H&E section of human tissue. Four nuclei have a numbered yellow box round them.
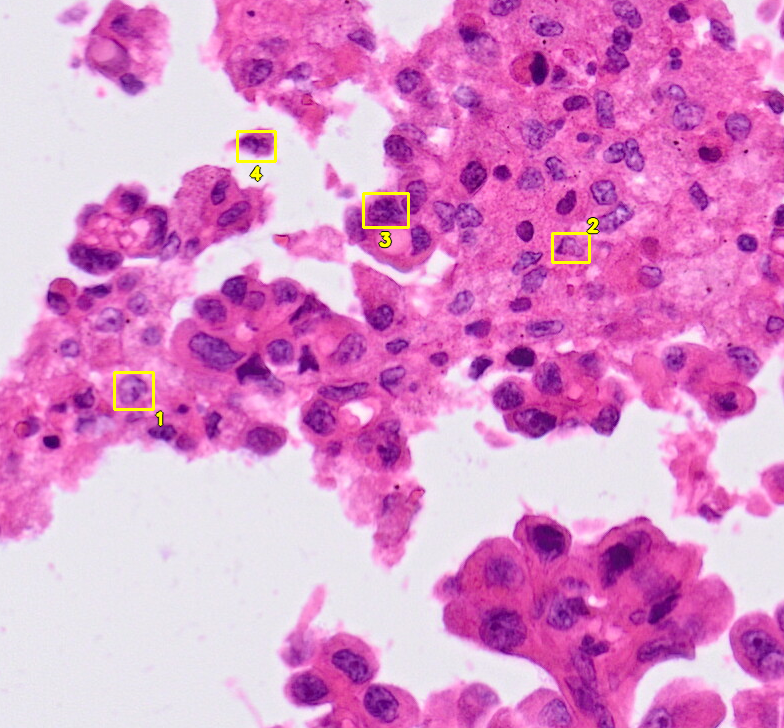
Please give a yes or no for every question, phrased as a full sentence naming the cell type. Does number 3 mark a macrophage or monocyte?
No, it is a carcinoma cell, rather than a macrophage or monocyte, that carries number 3.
